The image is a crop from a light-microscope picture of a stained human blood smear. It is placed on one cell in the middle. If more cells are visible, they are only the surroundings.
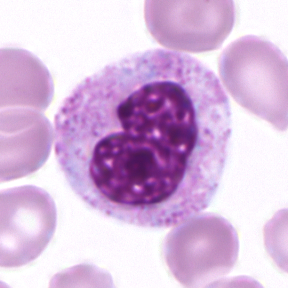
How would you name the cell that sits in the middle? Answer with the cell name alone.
band neutrophil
